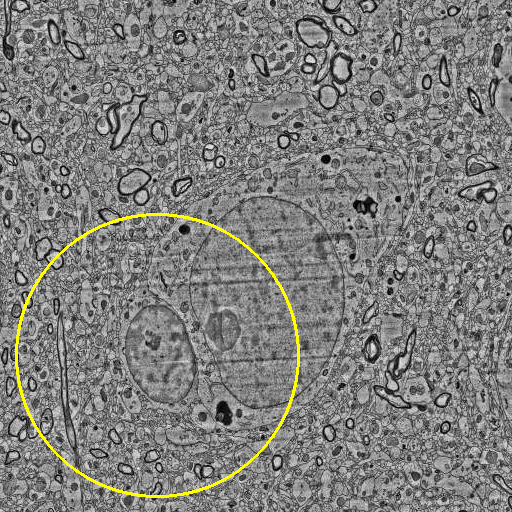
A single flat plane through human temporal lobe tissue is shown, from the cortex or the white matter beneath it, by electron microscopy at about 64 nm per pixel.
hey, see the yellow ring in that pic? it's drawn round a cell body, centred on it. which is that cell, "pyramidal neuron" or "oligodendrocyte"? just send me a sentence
The cell in the ring is an oligodendrocyte.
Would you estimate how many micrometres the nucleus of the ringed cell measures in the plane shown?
The nucleus measures about 6 by 4 micrometres, so it is clearly longer than it is wide in this plane.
